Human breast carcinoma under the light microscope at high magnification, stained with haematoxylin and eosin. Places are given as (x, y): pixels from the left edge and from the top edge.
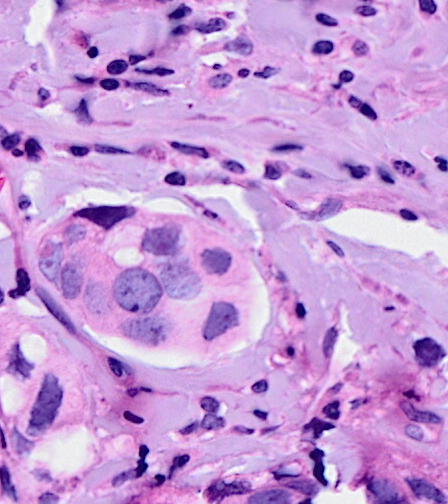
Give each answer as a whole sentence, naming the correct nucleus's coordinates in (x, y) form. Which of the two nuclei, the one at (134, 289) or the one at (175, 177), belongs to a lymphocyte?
The cell to which the nucleus at (175, 177) belongs is a lymphocyte.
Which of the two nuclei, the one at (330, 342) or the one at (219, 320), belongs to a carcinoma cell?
The correct choice is the nucleus at (219, 320), which belongs to a carcinoma cell.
